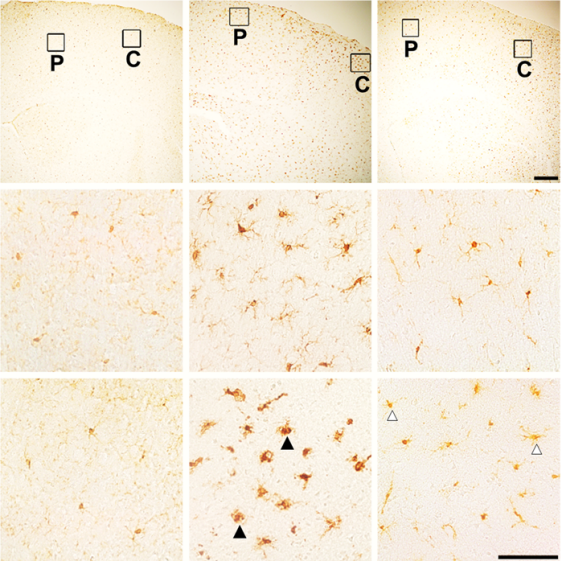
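In some fields the cells are small-bodied, with thin branching processes, and are spaced apart. In one column the cells are more numerous, with large, rounded, darkly stained bodies and short or few processes.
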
